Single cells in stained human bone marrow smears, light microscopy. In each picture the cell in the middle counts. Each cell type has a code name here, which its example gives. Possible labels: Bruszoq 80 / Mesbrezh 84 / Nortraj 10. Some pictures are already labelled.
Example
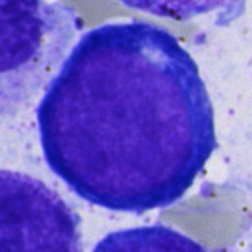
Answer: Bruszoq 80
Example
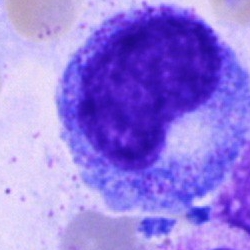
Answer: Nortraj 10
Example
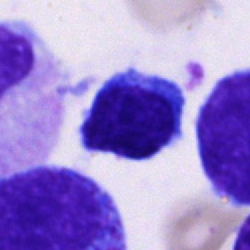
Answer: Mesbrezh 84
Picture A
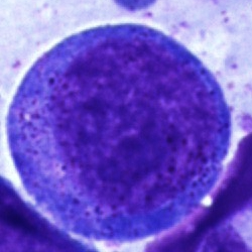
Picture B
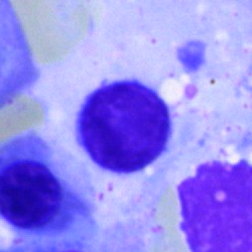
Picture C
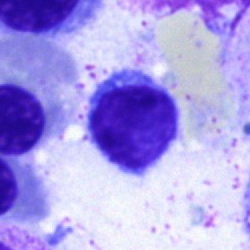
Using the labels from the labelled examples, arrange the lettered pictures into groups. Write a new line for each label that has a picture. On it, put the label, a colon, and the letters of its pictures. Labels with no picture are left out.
Mesbrezh 84: B, C
Nortraj 10: A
